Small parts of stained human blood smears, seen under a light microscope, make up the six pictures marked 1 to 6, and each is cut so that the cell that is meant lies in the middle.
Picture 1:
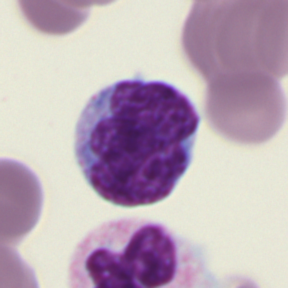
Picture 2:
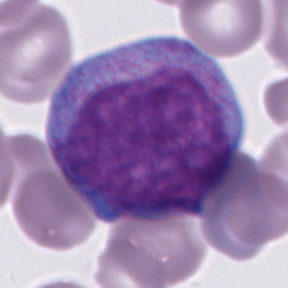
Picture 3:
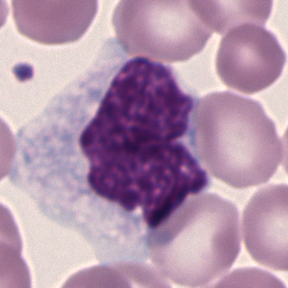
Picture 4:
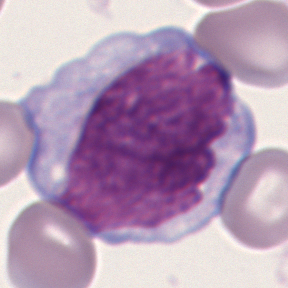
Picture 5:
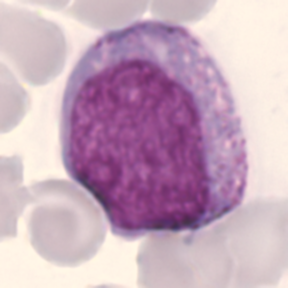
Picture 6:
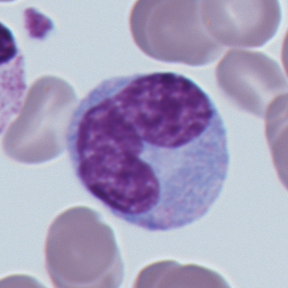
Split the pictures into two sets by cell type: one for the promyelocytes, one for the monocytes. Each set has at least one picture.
1: monocyte
2: promyelocyte
3: monocyte
4: monocyte
5: promyelocyte
6: monocyte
